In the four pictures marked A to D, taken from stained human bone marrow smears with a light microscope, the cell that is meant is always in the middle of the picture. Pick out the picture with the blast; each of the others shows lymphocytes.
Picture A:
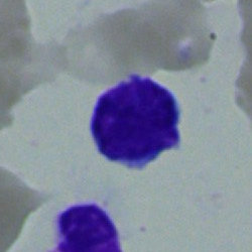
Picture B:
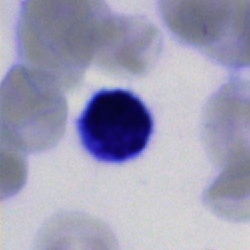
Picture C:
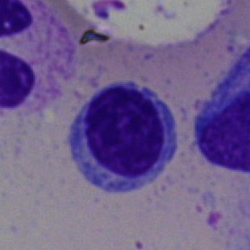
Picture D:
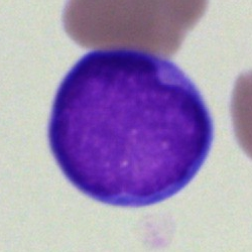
D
